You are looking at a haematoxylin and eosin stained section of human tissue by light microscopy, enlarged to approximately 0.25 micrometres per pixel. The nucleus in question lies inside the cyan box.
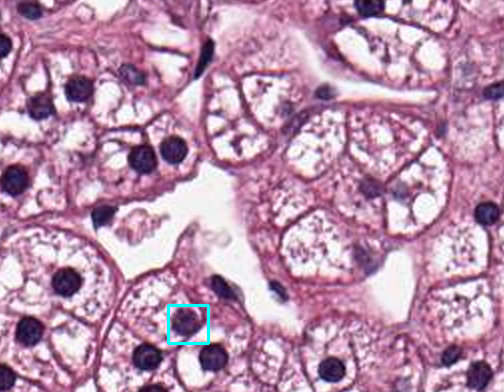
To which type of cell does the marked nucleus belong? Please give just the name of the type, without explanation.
adrenal cortical cell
